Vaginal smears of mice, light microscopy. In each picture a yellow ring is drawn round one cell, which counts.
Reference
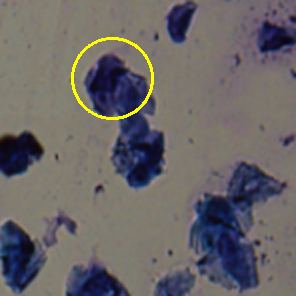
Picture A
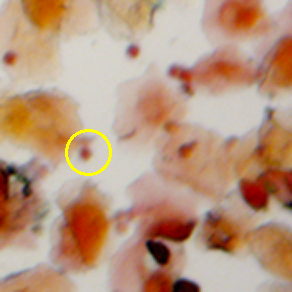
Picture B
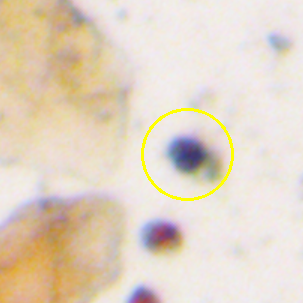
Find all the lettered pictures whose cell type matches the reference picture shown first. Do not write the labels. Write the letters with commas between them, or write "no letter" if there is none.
no letter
